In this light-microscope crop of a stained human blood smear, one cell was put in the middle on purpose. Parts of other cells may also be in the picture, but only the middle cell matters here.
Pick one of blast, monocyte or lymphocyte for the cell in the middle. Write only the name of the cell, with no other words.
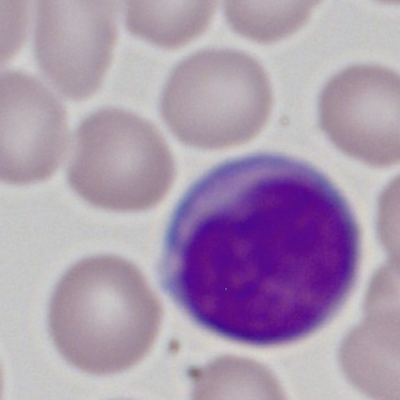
blast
